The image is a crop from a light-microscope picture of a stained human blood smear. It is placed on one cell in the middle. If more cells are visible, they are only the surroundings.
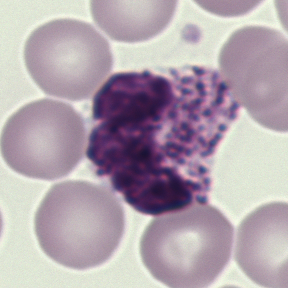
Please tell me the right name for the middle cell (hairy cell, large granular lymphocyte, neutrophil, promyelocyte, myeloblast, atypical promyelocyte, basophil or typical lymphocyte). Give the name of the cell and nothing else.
basophil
